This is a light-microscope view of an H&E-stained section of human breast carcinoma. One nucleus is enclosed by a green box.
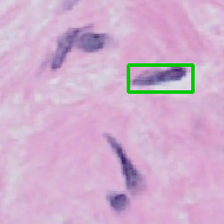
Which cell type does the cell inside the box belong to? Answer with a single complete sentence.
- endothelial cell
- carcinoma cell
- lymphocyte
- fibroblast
The correct response here is that the cell inside the box is a fibroblast.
